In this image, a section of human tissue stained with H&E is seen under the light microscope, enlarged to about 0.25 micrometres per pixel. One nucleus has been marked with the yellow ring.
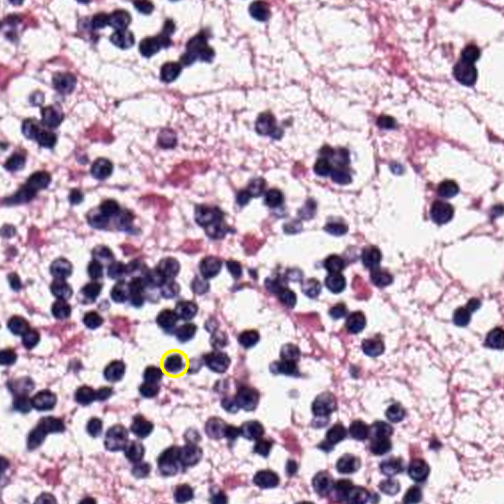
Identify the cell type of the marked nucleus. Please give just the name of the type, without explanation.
cerebellar granule cell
